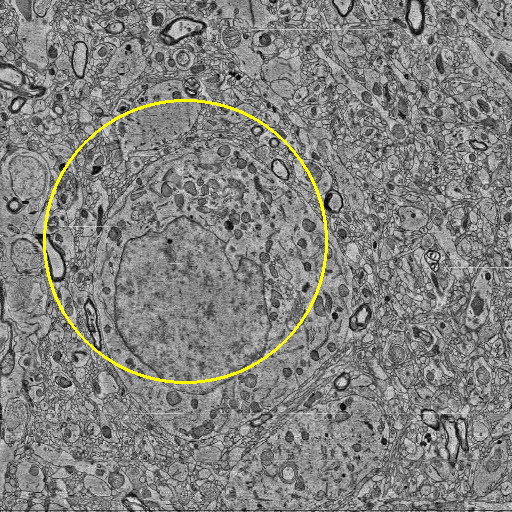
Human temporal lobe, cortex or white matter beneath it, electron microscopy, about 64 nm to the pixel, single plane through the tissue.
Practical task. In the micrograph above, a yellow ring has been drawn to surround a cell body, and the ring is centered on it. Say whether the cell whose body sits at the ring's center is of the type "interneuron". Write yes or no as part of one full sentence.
Yes, the cell at the center of the ring above is of the type asked about.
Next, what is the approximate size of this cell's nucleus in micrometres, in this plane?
The nucleus of the ringed cell is approximately 12 by 10 micrometres in this plane.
